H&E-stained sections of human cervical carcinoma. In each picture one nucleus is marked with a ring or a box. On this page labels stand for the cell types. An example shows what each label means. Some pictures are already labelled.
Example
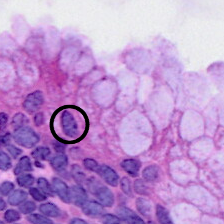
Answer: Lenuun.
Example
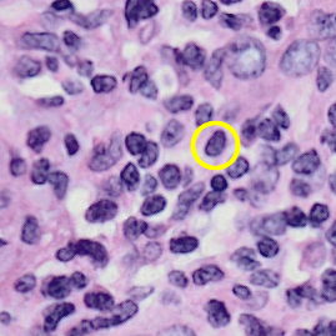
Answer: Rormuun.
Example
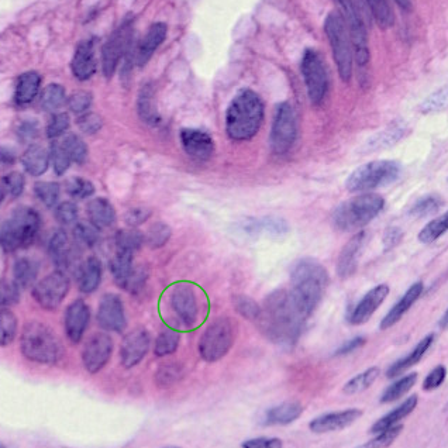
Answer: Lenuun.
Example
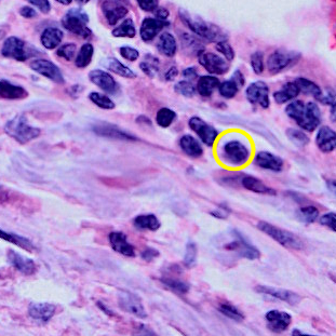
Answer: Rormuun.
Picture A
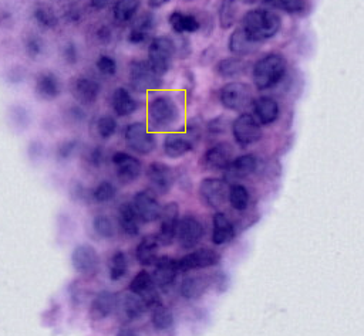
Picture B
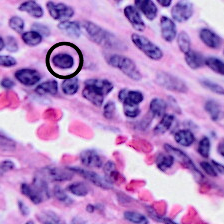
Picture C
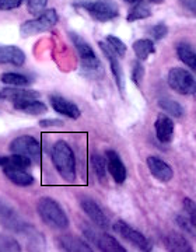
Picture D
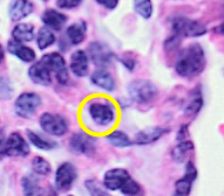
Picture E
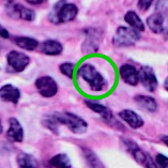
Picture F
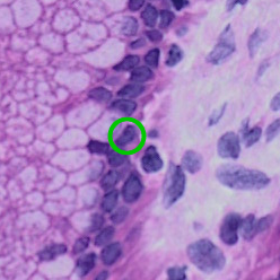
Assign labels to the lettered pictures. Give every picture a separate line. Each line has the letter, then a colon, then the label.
A: Lenuun.
B: Rormuun.
C: Lenuun.
D: Rormuun.
E: Rormuun.
F: Lenuun.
